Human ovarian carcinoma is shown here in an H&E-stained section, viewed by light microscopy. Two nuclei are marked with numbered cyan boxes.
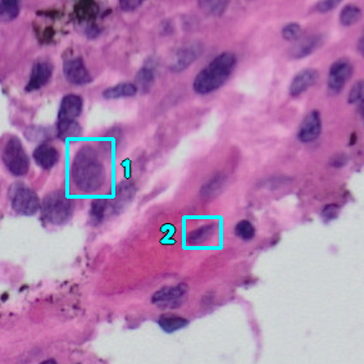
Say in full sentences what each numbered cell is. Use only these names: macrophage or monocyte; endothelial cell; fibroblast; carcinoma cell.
Cell 1 is a carcinoma cell. Cell 2 is an endothelial cell.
